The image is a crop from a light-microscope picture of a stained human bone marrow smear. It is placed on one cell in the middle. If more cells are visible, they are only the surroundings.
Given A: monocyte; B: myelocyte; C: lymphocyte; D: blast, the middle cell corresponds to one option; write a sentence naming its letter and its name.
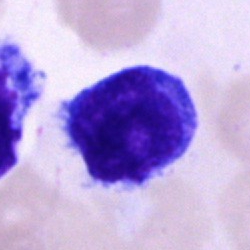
Option D is correct in that the central cell is a blast.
